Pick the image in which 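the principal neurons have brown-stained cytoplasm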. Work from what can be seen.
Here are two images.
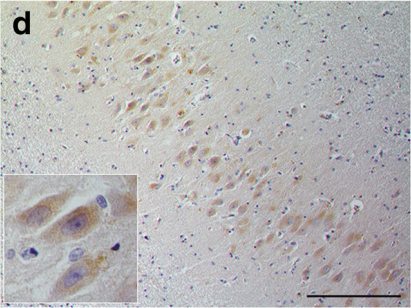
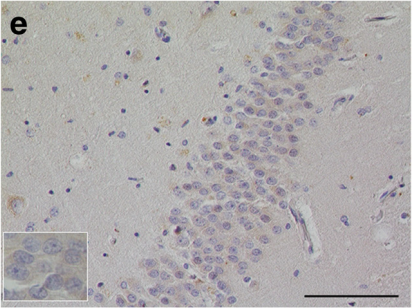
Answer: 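Second image: the packed small round cells show blue nuclei with little or no brown. First image: the large triangular cell bodies have brown cytoplasm.
Hence: the first image.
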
